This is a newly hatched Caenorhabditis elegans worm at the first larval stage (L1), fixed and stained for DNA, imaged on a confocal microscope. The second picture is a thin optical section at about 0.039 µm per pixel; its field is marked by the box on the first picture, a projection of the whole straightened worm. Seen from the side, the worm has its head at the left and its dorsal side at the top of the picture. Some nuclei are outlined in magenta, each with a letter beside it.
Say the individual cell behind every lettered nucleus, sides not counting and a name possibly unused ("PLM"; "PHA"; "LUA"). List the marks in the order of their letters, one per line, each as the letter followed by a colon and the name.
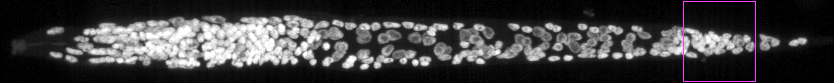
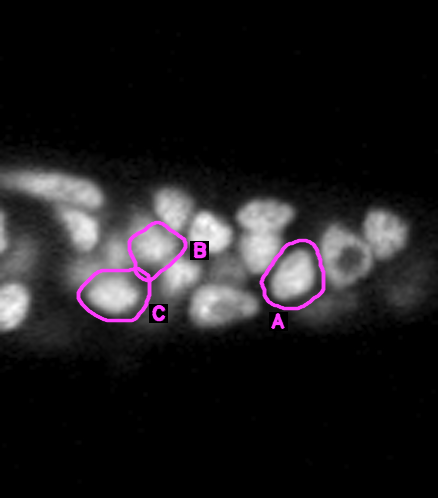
A: PLM
B: LUA
C: PHA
